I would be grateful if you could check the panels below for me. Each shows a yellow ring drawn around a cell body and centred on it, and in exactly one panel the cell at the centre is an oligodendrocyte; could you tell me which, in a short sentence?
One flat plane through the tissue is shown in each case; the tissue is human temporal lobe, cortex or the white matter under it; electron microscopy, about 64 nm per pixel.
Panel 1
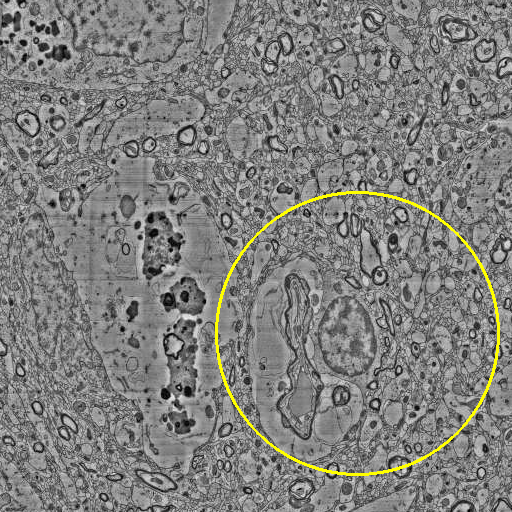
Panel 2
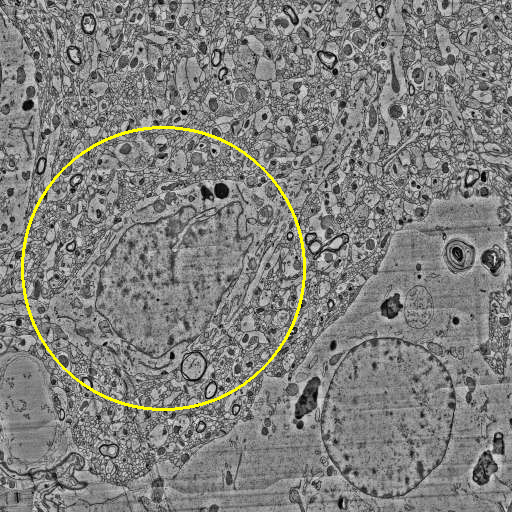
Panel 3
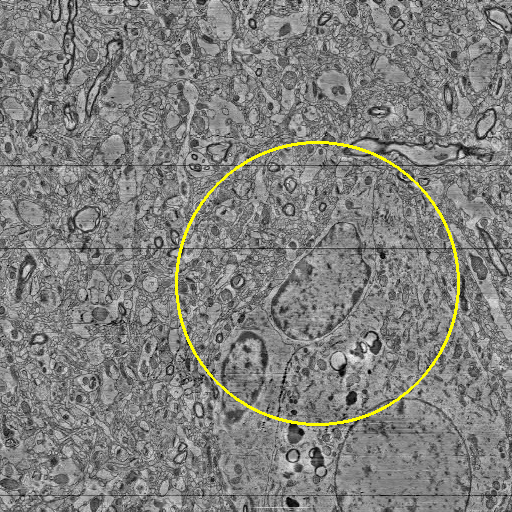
The ring in Panel 1 is centred on it.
